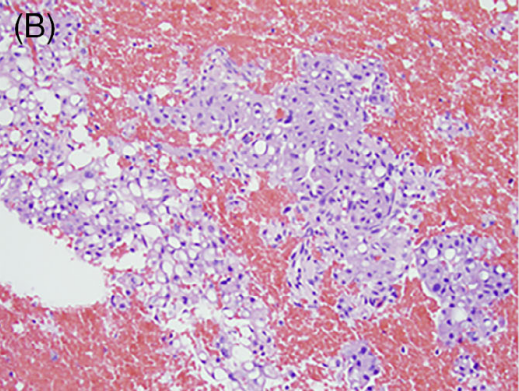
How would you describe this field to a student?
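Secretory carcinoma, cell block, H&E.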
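Large fragments of neoplastic cells lie within a background of pink blood. The cells have abundant cytoplasm that ranges from clear and vacuolated to pale pink. Their nuclei are small, round to oval and dark blue, set apart from one another by the wide cytoplasm.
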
